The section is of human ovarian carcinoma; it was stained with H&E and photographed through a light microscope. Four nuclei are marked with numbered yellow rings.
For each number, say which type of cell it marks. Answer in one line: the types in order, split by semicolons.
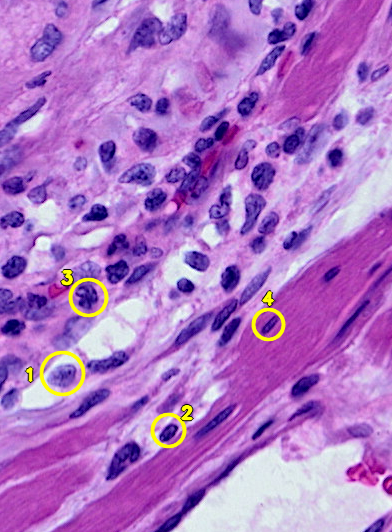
macrophage or monocyte; lymphocyte; lymphocyte; smooth muscle cell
